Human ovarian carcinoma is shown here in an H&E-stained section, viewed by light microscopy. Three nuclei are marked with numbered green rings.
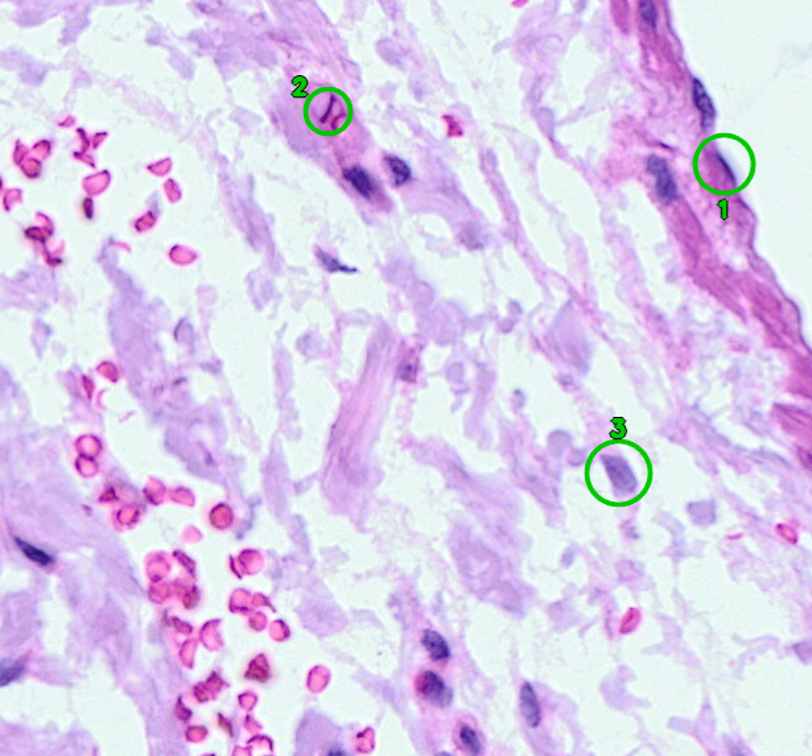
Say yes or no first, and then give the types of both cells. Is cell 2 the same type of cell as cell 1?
Yes, cells 2 and 1 both qualify as endothelial cells.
